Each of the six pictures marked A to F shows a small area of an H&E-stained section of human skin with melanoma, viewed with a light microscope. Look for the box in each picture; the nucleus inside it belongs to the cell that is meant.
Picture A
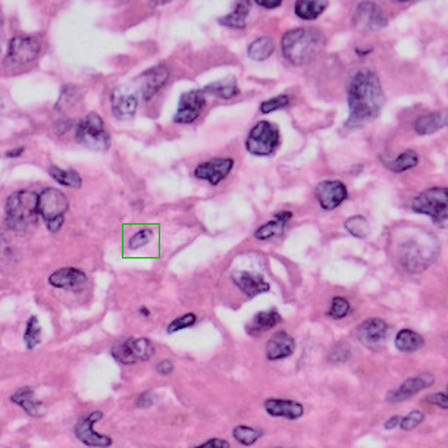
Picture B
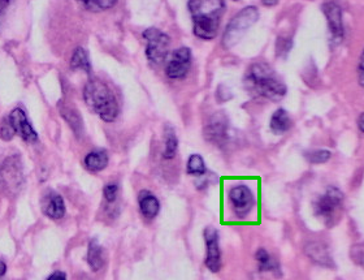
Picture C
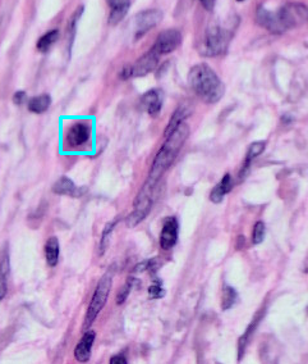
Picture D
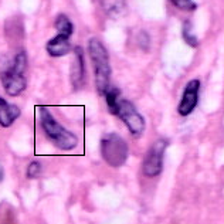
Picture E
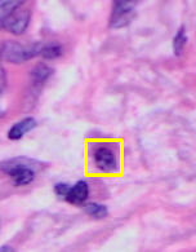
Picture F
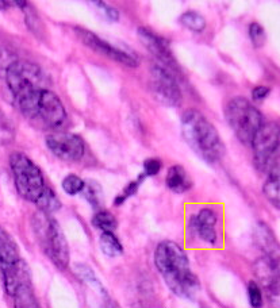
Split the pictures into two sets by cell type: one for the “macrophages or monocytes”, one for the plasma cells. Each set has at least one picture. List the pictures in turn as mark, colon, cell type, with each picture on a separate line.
A: macrophage or monocyte
B: macrophage or monocyte
C: plasma cell
D: macrophage or monocyte
E: plasma cell
F: macrophage or monocyte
